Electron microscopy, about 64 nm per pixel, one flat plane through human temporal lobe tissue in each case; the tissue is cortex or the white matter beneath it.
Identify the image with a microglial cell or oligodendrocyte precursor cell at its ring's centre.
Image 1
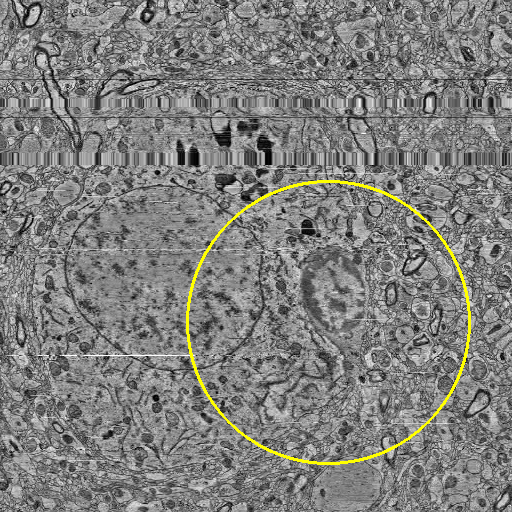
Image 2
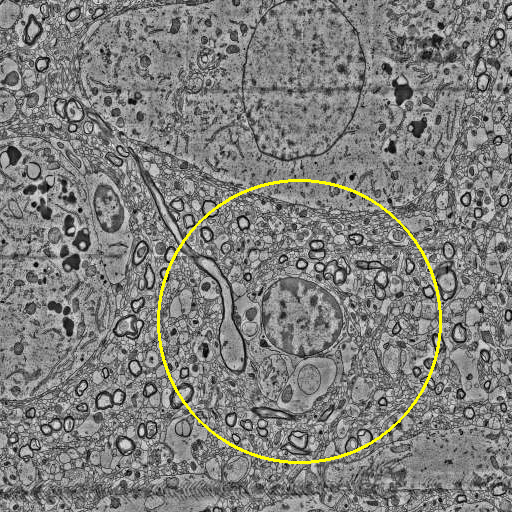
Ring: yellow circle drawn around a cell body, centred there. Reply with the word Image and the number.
Image 2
